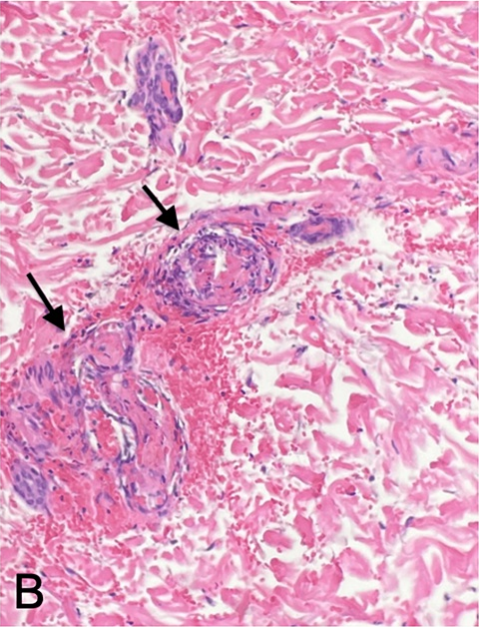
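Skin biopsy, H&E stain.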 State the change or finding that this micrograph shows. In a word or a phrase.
erythrocyte extravasation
